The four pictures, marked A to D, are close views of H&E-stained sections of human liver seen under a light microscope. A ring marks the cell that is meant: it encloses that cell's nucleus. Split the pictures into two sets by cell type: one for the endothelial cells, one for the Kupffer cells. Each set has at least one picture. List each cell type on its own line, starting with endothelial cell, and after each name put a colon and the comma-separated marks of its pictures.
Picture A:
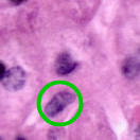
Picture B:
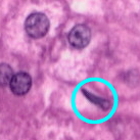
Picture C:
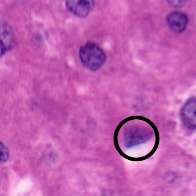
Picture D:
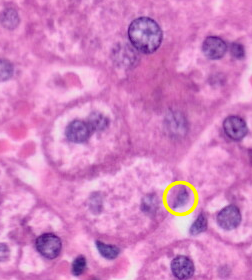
endothelial cell: B, C, D
Kupffer cell: A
